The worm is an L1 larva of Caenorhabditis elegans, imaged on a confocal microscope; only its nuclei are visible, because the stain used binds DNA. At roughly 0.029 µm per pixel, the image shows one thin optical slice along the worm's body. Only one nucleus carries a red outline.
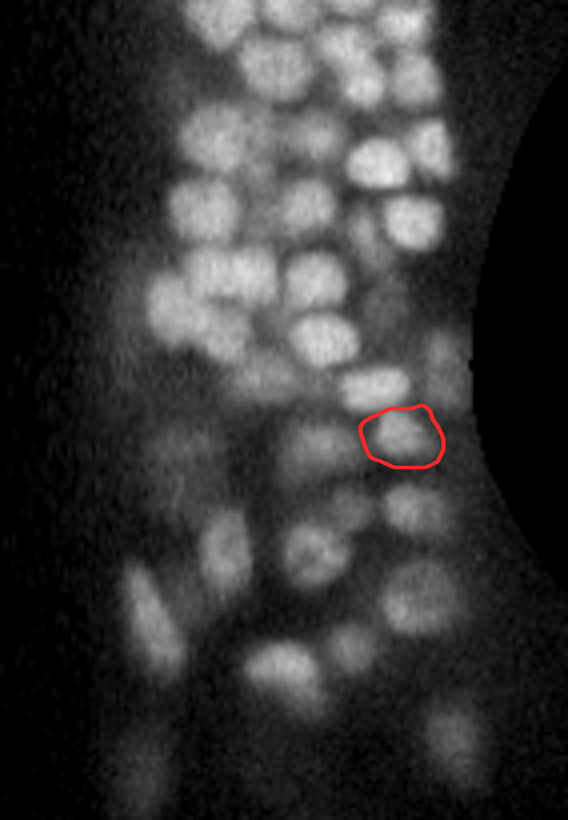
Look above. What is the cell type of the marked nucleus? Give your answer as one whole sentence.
The nucleus comes from a neuron.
